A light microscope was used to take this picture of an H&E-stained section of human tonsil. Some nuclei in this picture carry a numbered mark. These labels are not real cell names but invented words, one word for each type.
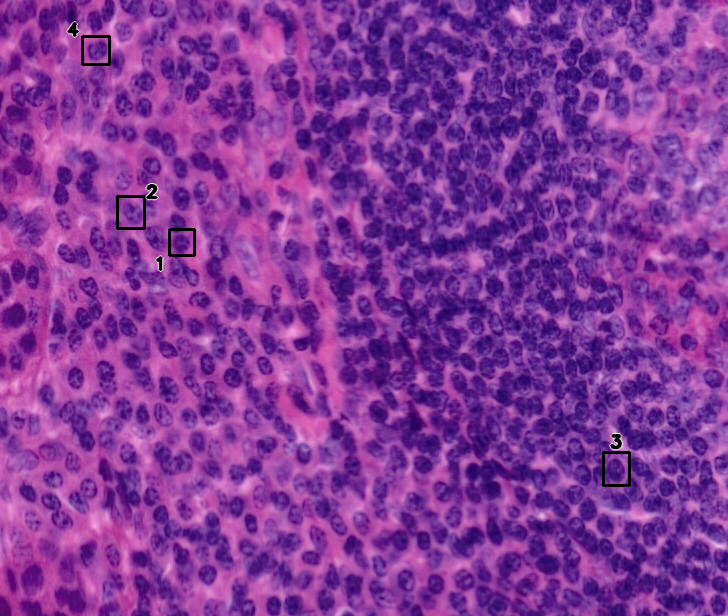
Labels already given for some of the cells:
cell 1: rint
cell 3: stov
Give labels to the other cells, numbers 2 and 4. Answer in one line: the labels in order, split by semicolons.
rint; rint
